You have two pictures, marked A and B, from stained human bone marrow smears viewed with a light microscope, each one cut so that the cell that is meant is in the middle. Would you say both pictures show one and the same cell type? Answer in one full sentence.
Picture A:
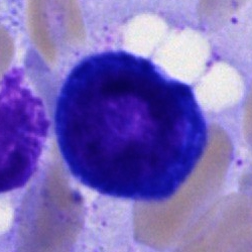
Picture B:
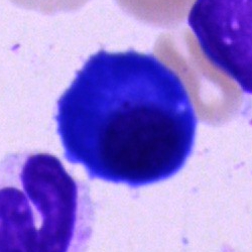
No, the types are not the same, since picture A shows a proerythroblast and picture B a plasma cell.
